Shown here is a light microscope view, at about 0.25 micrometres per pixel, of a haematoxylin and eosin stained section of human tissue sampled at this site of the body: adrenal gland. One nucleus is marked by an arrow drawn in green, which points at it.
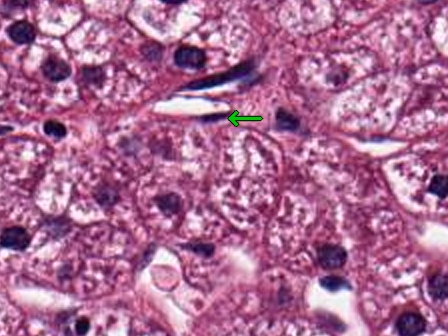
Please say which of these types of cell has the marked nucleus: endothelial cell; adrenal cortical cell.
endothelial cell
